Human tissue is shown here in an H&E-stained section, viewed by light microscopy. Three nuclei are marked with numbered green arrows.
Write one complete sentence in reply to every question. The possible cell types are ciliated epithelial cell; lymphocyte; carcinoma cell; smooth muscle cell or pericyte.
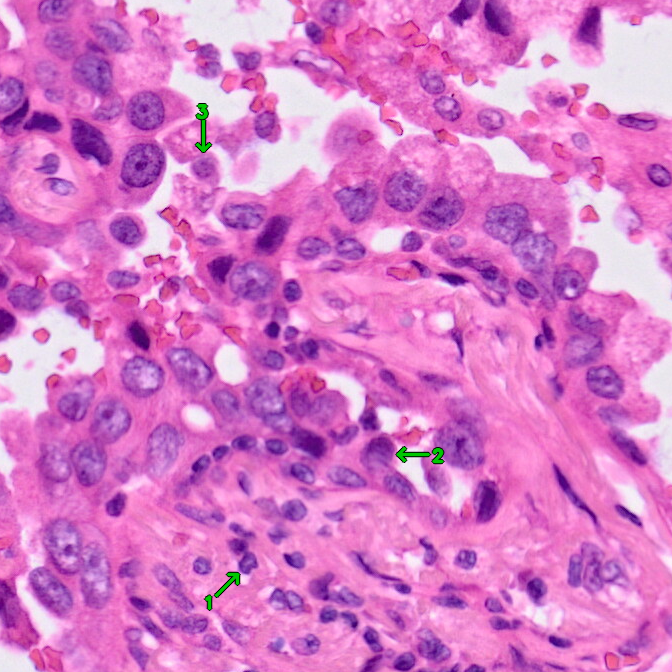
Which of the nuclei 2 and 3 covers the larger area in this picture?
Nucleus 2 is larger, with an area about 2 times that of nucleus 3.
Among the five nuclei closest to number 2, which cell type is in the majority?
The majority of the five nuclei closest to number 2 belong to carcinoma cells.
